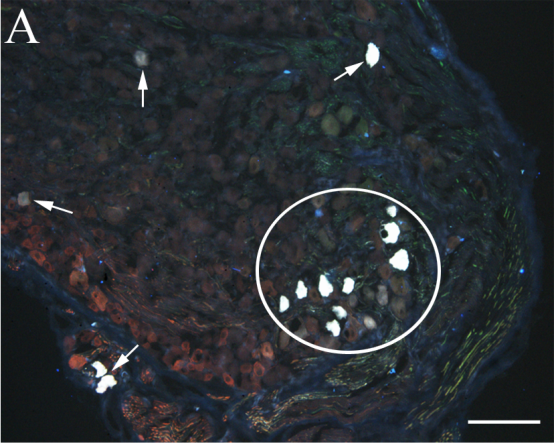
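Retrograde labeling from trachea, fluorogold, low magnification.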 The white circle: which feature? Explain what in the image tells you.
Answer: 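The circle encloses about ten brightly labeled cell bodies lying close together. On this evidence: clusters.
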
